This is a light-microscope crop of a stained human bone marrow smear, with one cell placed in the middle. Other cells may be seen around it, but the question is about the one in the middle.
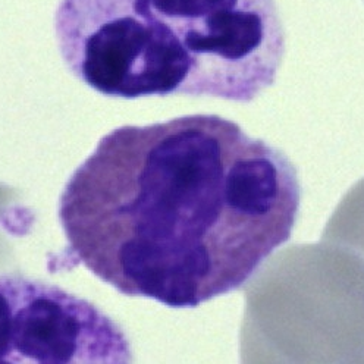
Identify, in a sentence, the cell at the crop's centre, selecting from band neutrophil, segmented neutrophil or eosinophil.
This crop has an eosinophil at its centre.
